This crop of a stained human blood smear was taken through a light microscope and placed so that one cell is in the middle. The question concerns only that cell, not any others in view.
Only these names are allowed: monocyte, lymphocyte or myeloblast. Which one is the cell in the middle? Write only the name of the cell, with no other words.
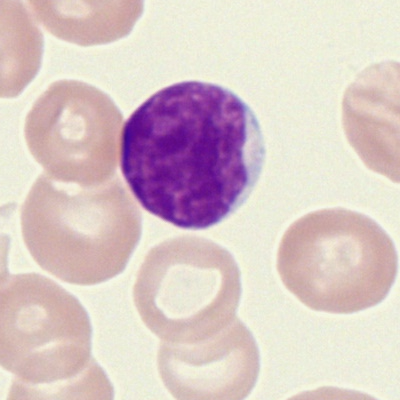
lymphocyte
